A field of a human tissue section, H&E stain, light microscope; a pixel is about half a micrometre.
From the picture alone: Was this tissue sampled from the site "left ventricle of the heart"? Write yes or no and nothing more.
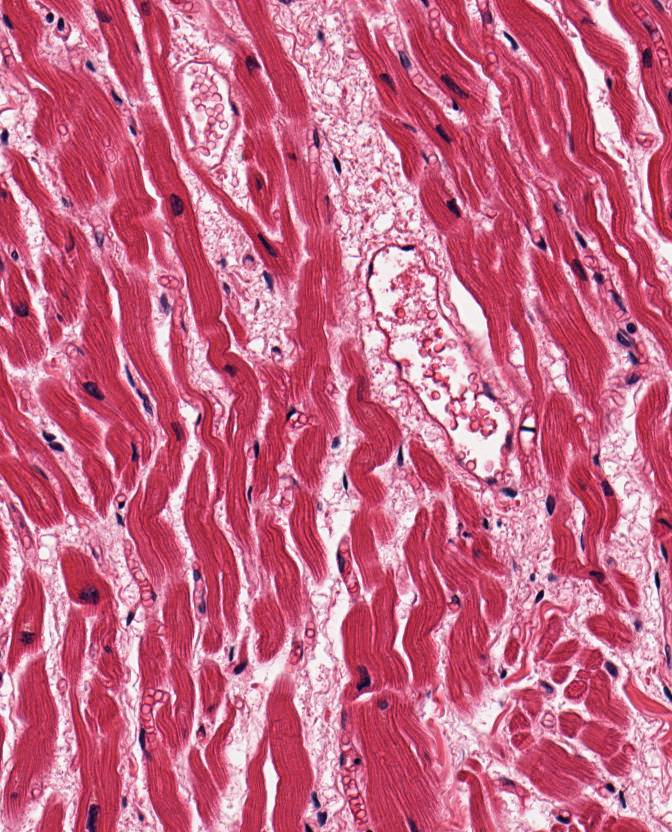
no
